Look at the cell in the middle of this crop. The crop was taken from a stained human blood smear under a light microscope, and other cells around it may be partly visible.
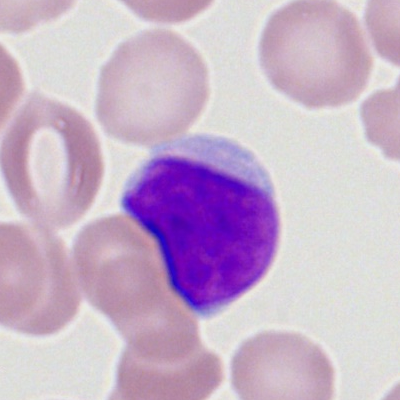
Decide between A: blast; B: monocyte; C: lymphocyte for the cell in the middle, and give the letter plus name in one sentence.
The correct identification, given in option C, is that the central cell is a lymphocyte.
